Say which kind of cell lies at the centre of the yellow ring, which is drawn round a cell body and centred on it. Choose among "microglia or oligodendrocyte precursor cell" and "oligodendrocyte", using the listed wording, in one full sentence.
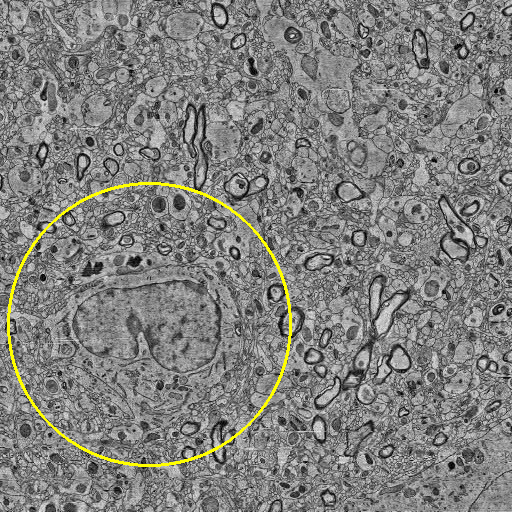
Going by the list, the cell at the yellow ring's centre is a microglial cell or oligodendrocyte precursor cell.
